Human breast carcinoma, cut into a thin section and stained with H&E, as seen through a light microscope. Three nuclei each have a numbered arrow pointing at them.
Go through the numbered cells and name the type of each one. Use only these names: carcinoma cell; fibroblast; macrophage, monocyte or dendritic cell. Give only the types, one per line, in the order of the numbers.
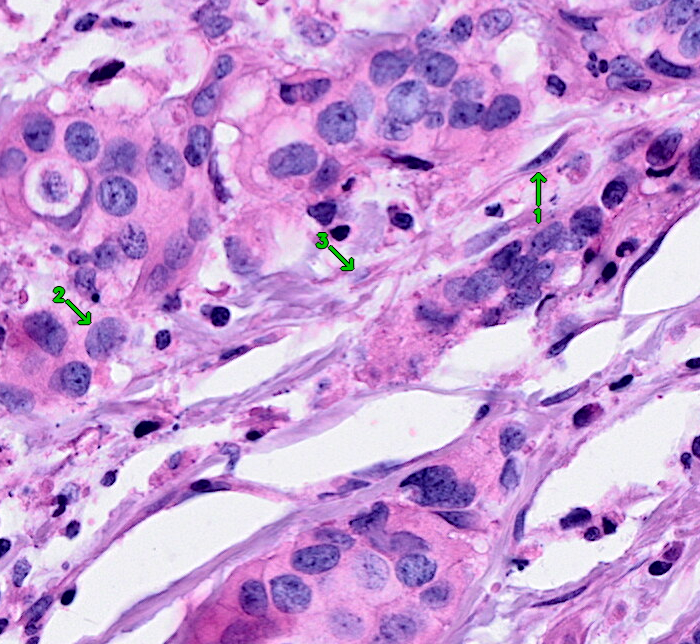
fibroblast
carcinoma cell
fibroblast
